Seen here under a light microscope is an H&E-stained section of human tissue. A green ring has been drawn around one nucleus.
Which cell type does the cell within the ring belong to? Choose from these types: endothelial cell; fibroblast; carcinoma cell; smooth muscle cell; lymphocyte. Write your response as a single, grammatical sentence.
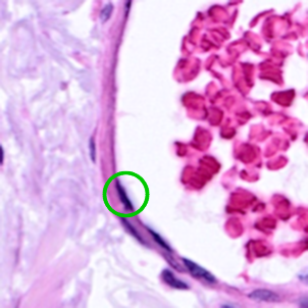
Assigned to a cell type, the cell within the ring is an endothelial cell.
